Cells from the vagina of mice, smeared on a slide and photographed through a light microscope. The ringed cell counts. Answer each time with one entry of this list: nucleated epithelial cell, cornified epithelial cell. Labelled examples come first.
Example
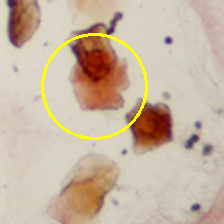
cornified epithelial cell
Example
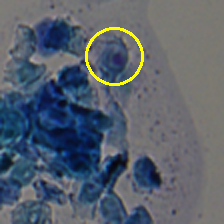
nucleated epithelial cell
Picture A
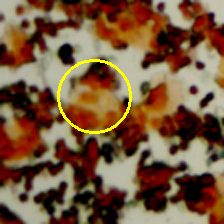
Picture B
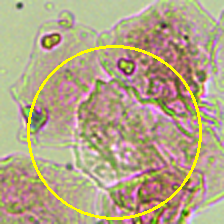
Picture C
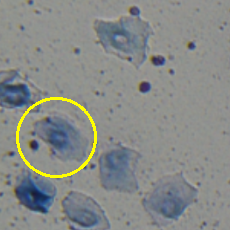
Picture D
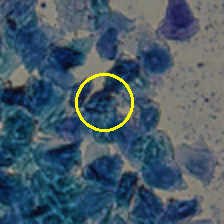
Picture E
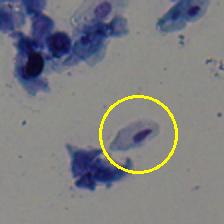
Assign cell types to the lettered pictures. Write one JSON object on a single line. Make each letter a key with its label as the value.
{"A": "cornified epithelial cell", "B": "cornified epithelial cell", "C": "nucleated epithelial cell", "D": "cornified epithelial cell", "E": "nucleated epithelial cell"}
